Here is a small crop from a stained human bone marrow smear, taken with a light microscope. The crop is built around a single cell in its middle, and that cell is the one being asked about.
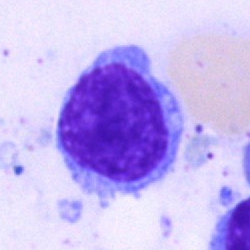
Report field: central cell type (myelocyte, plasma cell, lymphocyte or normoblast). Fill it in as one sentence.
Classified as a lymphocyte is the cell in the middle of this crop.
